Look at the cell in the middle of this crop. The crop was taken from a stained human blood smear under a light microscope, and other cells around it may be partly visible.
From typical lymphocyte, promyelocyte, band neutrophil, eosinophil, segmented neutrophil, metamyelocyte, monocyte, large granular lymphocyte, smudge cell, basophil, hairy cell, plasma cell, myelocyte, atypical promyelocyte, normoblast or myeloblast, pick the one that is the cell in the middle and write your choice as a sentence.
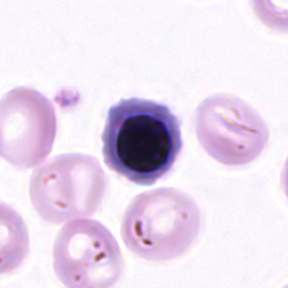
Present in the middle of the crop is a normoblast.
